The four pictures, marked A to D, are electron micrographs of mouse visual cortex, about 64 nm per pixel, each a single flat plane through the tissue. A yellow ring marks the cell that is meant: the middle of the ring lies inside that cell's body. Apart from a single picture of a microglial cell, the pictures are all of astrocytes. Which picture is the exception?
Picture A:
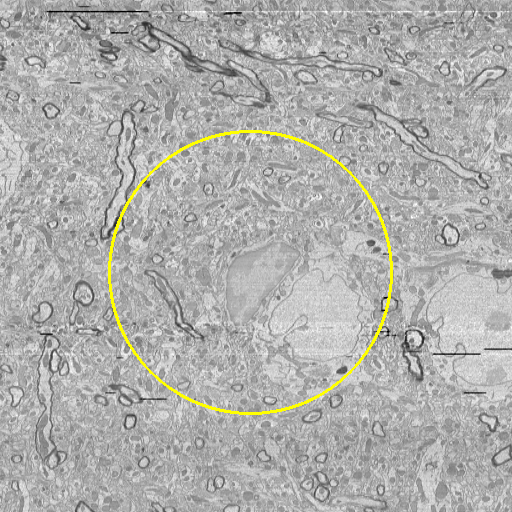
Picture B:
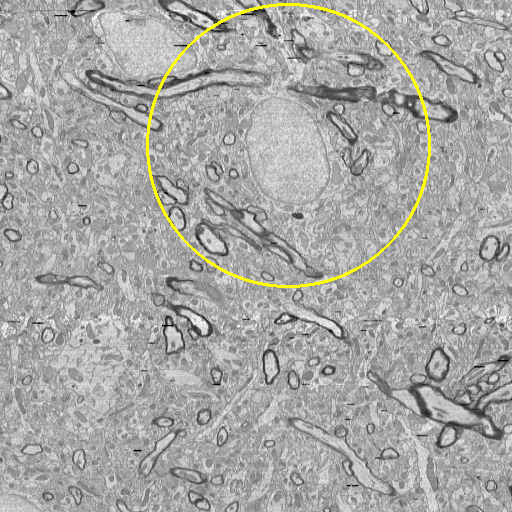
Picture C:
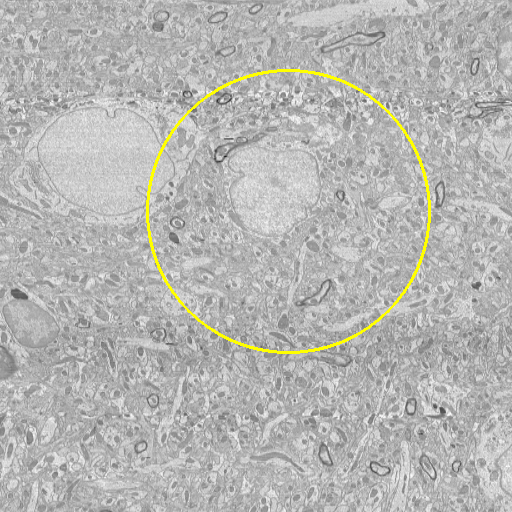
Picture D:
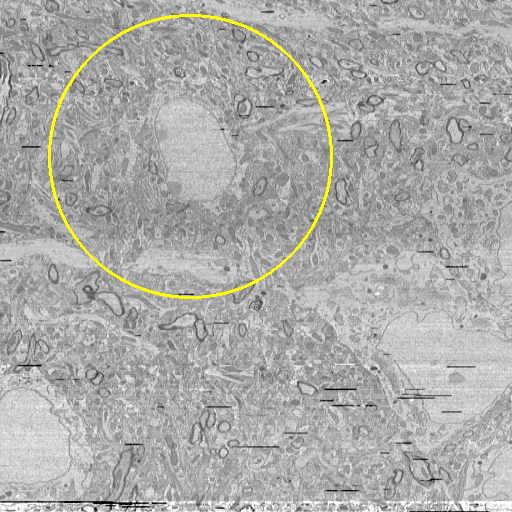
It is picture A that shows the microglial cell.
